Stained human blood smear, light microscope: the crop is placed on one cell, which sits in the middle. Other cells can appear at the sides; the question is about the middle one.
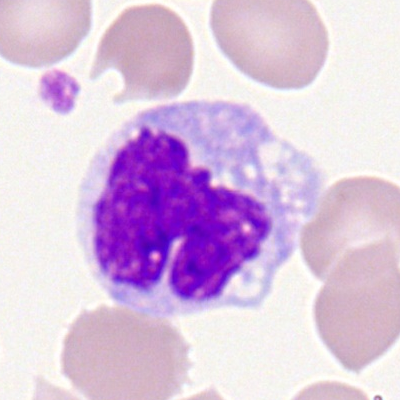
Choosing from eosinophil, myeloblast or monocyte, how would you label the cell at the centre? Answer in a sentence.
In the crop, the cell of interest at the centre is a monocyte.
